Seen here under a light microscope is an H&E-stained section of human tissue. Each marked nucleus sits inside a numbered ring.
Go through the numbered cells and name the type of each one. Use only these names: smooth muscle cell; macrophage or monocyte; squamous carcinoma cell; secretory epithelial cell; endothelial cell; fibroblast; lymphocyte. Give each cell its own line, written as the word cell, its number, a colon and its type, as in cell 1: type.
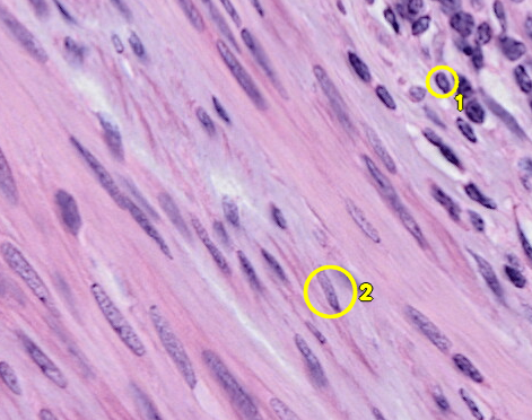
cell 1: lymphocyte
cell 2: smooth muscle cell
